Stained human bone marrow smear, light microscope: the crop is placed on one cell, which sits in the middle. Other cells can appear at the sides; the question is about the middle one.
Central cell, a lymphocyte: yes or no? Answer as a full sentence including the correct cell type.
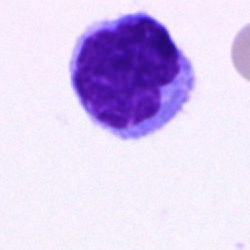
Yes, the cell that lies centrally is a lymphocyte.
